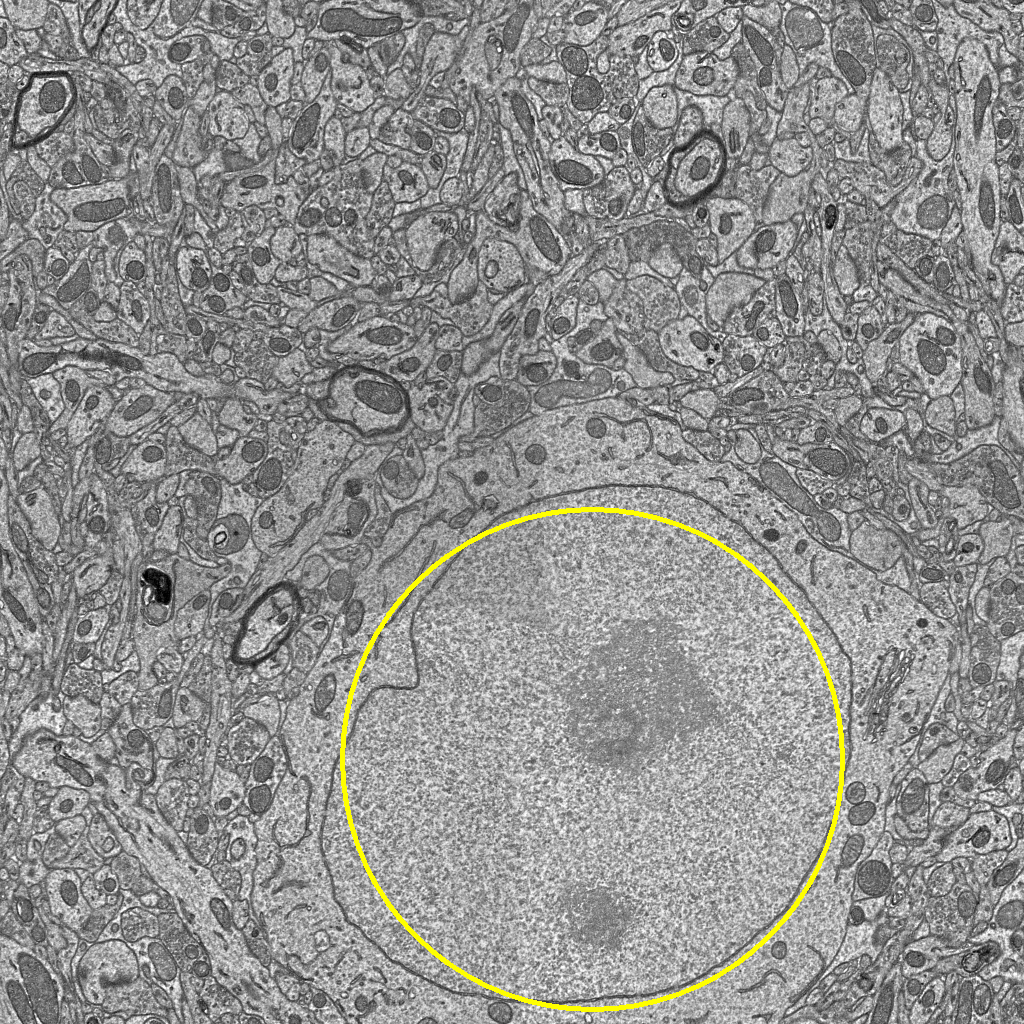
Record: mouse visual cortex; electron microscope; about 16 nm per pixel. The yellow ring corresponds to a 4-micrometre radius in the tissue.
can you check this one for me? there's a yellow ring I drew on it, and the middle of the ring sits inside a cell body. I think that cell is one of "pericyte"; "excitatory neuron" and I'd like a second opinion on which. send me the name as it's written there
excitatory neuron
